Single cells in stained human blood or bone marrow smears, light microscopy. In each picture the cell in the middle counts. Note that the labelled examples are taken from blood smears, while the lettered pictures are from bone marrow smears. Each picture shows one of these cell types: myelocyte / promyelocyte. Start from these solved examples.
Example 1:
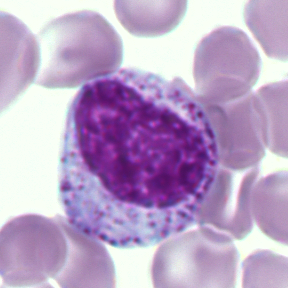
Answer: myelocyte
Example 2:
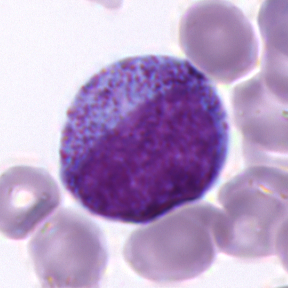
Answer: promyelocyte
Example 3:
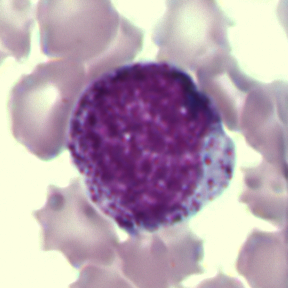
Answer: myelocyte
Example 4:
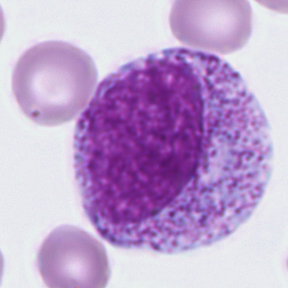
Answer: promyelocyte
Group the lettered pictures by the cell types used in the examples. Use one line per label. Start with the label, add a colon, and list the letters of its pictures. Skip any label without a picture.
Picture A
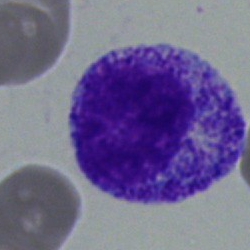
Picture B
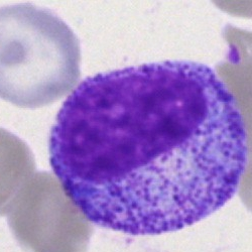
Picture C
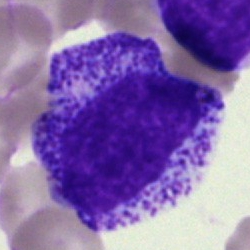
myelocyte: A, B, C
